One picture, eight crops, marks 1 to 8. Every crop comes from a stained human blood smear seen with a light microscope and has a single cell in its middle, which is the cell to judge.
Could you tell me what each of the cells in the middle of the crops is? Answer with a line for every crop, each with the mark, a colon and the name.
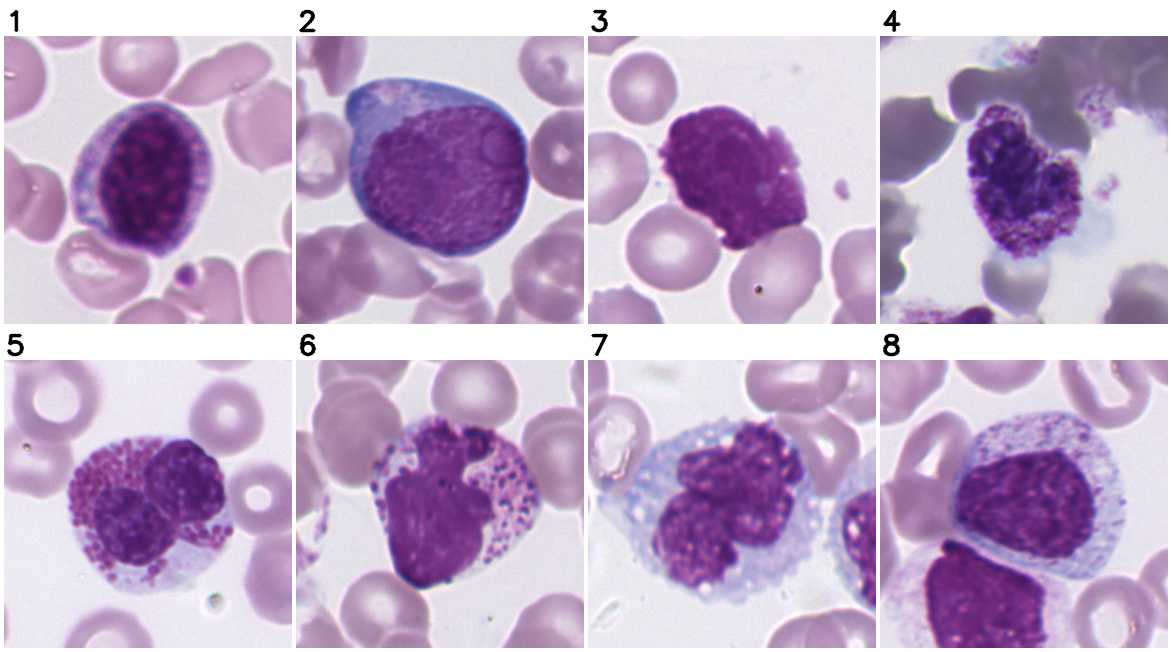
1: metamyelocyte
2: myeloblast
3: smudge cell
4: basophil
5: eosinophil
6: basophil
7: monocyte
8: myelocyte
